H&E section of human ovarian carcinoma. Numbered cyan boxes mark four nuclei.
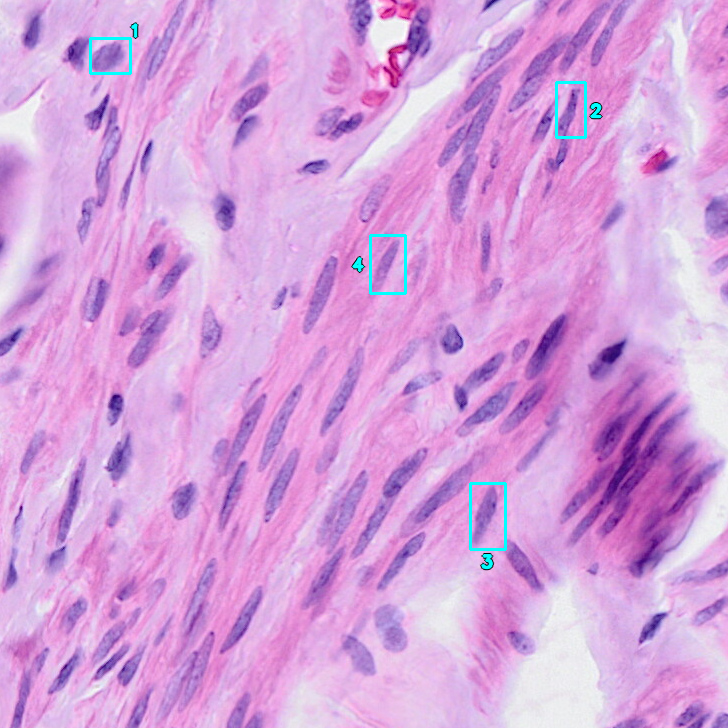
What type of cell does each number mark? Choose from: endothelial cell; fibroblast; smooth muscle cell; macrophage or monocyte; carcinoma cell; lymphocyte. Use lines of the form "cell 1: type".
cell 1: fibroblast
cell 2: smooth muscle cell
cell 3: smooth muscle cell
cell 4: smooth muscle cell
